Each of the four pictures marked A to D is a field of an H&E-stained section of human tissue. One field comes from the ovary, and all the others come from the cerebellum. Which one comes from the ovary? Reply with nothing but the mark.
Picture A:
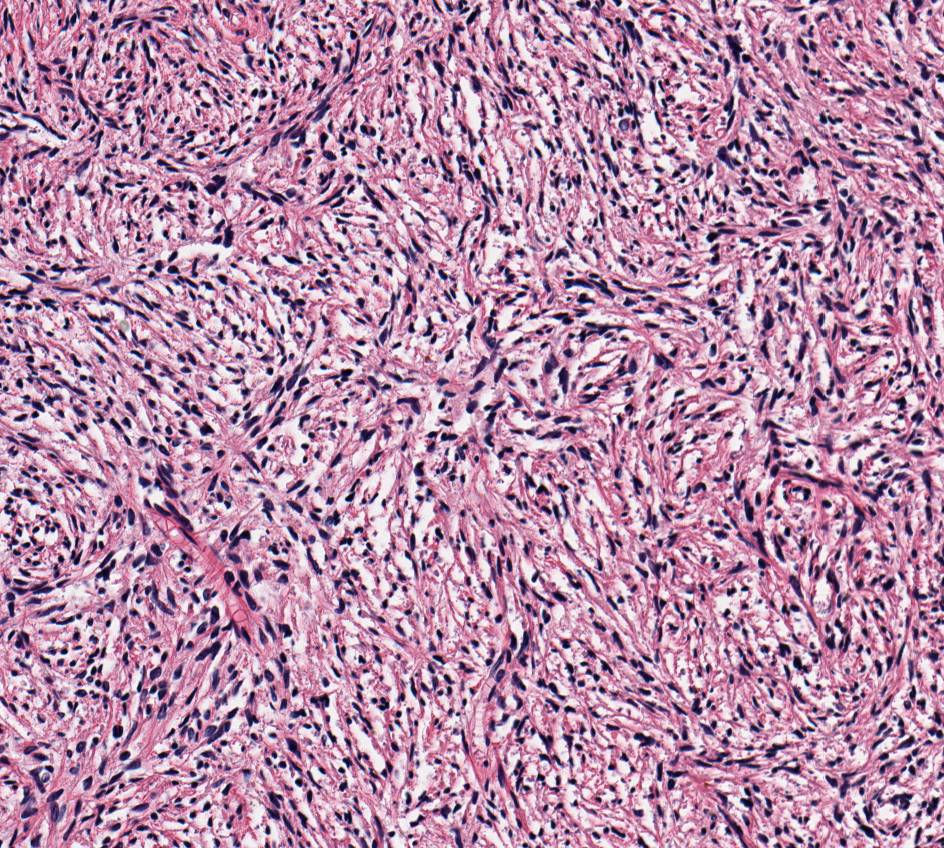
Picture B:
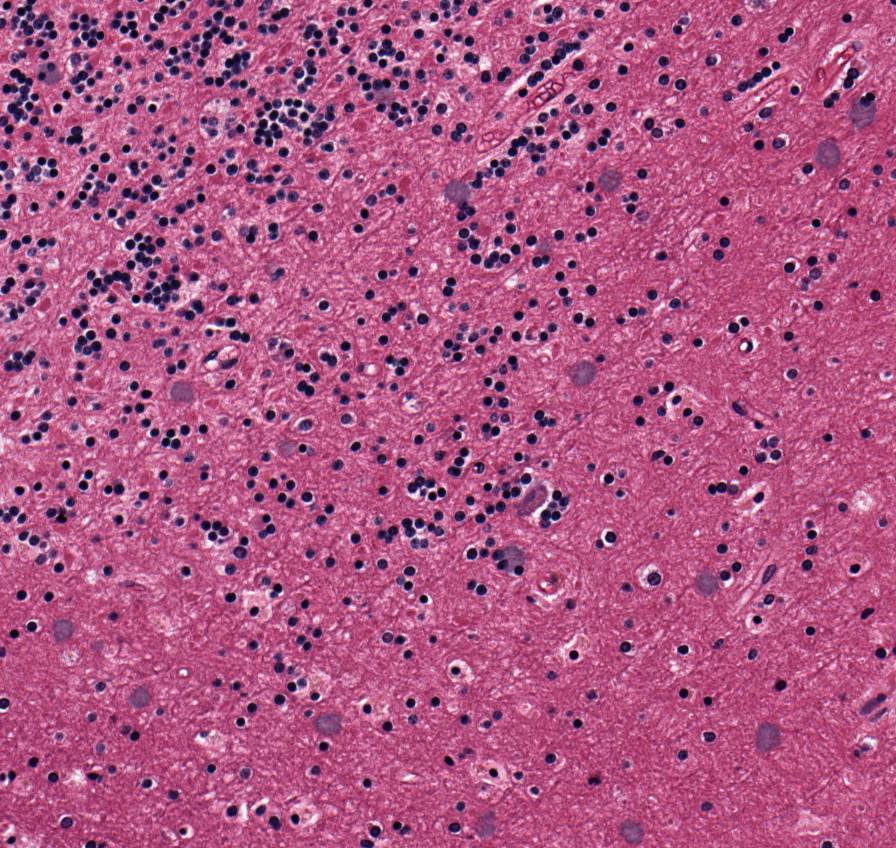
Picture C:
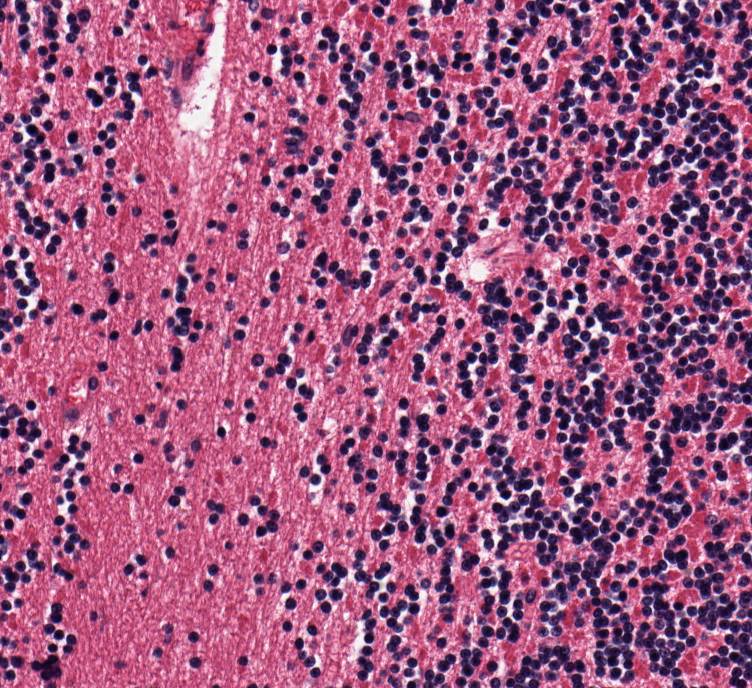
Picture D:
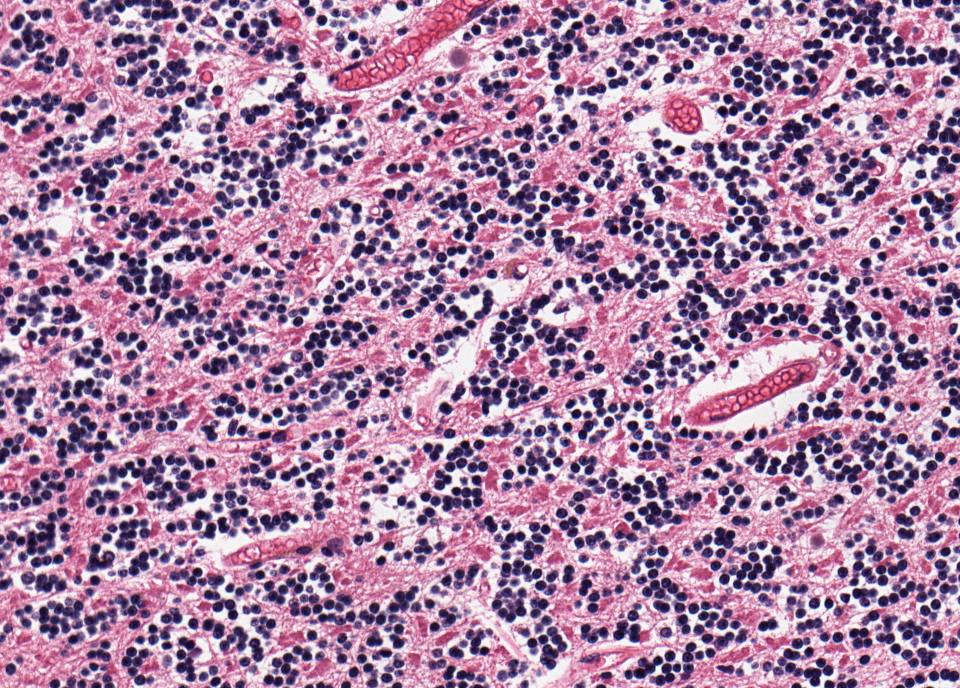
A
